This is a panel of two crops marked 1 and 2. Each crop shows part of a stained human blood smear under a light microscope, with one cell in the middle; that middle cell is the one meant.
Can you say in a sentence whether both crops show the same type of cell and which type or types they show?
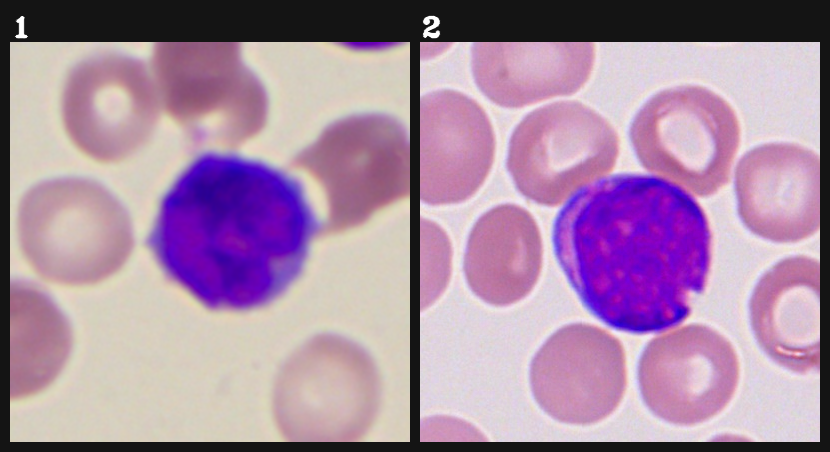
Yes, put down myeloblasts for both crops.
